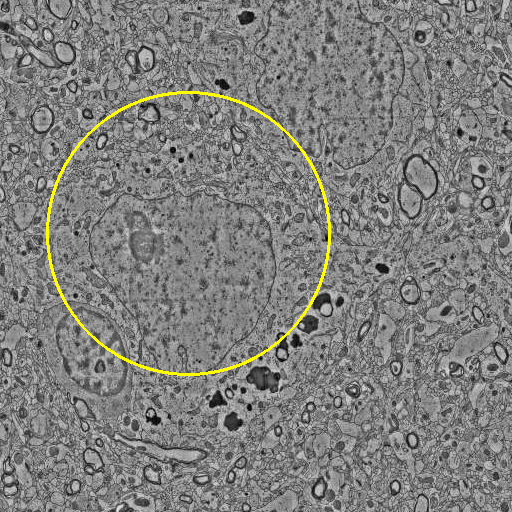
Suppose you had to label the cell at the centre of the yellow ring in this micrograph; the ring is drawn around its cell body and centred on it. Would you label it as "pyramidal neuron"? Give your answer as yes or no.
Yes, I would label it that way.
